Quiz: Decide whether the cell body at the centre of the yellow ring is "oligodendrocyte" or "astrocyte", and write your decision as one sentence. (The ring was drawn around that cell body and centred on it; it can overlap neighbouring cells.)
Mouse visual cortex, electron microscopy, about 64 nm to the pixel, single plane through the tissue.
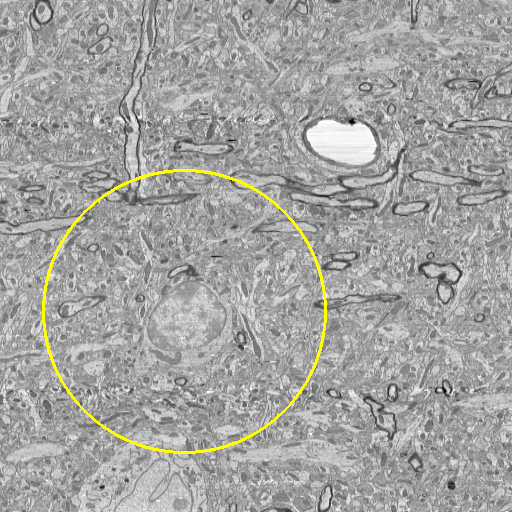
The cell the ring is centred on is an oligodendrocyte.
